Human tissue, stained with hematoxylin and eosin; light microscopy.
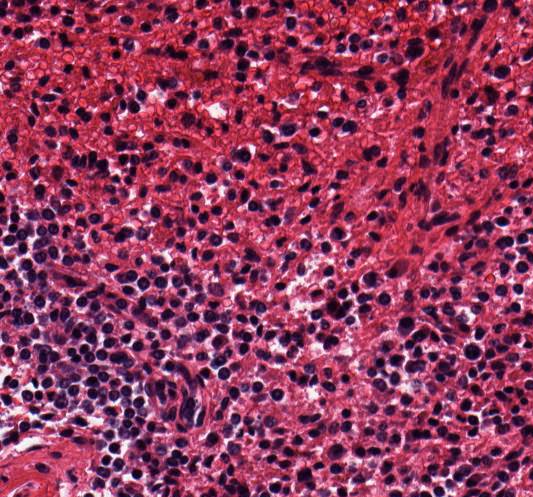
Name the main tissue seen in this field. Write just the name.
red pulp of the spleen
